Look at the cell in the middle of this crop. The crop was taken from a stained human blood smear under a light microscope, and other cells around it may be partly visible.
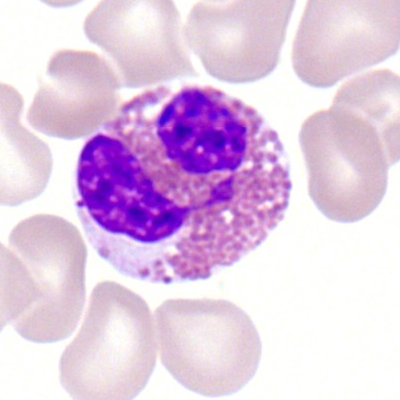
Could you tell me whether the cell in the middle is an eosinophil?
yes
